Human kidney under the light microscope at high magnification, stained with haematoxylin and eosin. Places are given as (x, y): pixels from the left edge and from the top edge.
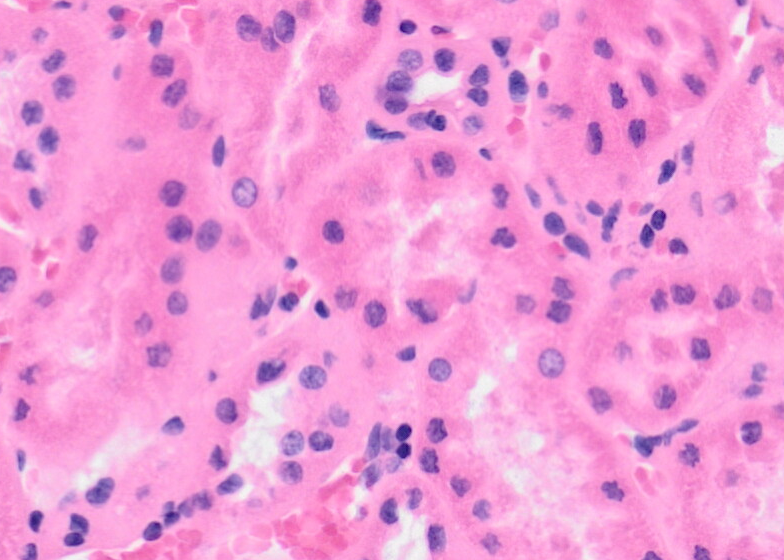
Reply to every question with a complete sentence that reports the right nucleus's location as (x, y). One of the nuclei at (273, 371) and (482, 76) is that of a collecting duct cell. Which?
The one nucleus of the two that belongs to a collecting duct cell is at (482, 76).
